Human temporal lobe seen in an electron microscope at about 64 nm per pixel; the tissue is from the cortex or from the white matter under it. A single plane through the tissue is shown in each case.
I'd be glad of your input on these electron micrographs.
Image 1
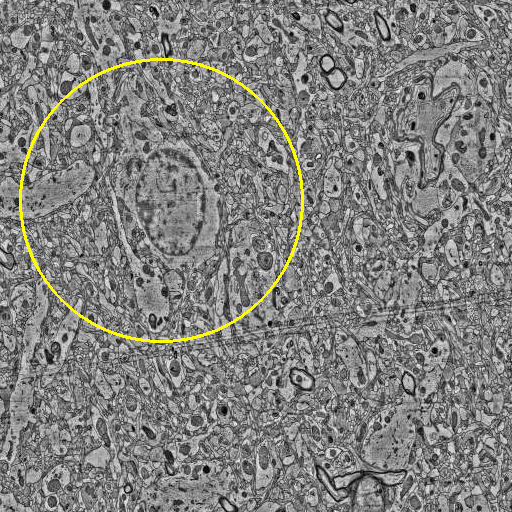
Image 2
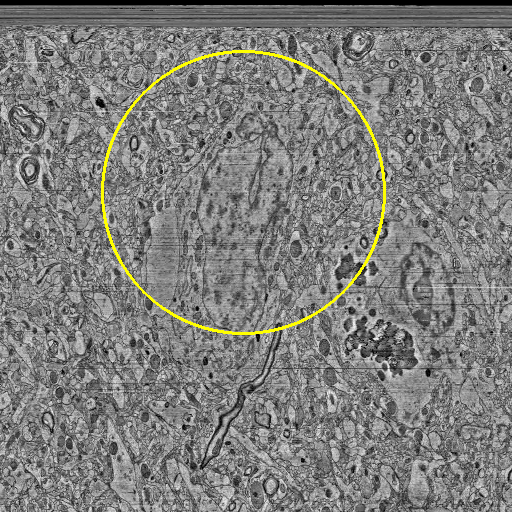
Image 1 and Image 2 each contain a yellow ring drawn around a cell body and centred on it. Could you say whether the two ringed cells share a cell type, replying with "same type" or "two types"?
two types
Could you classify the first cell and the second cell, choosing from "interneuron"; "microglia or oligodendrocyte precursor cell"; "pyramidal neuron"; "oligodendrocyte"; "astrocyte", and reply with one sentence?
The second cell is an interneuron, while the first is an astrocyte.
